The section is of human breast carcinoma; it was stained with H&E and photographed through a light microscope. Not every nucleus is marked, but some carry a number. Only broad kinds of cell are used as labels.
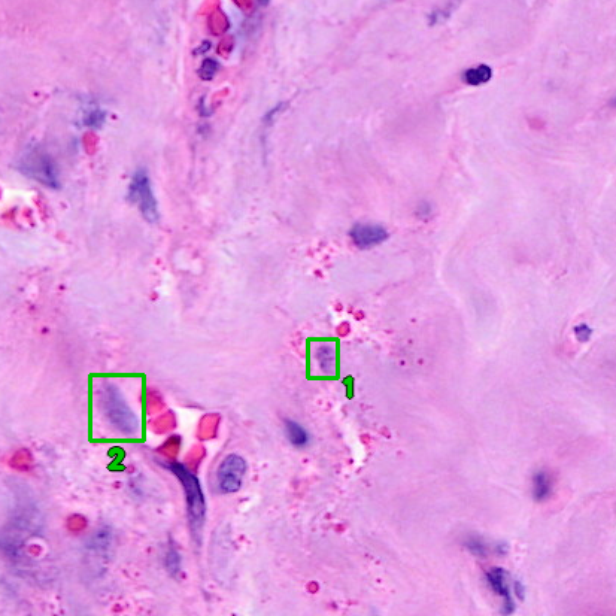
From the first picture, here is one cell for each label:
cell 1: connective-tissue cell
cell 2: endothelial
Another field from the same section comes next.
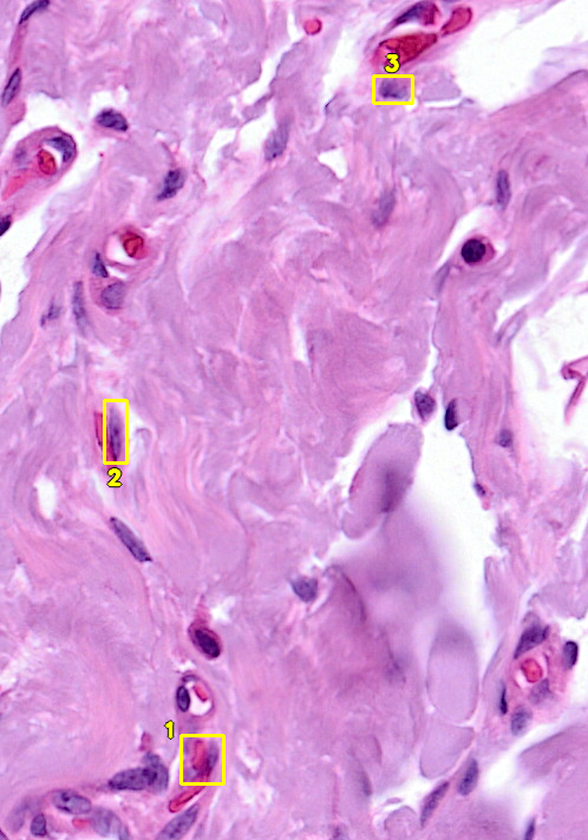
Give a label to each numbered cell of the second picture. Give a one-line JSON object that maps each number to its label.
{"1": "endothelial", "2": "endothelial", "3": "connective-tissue cell"}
